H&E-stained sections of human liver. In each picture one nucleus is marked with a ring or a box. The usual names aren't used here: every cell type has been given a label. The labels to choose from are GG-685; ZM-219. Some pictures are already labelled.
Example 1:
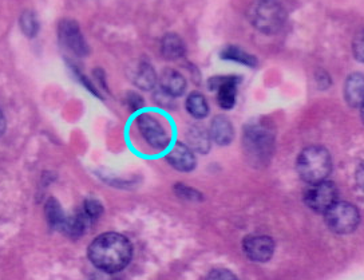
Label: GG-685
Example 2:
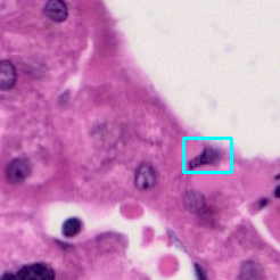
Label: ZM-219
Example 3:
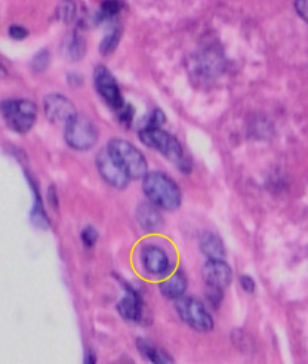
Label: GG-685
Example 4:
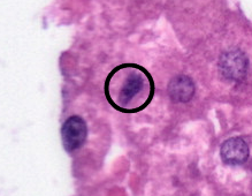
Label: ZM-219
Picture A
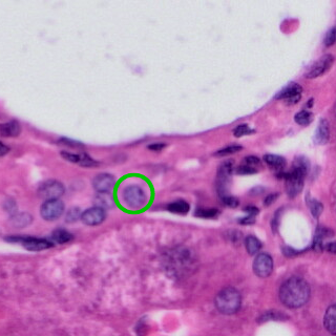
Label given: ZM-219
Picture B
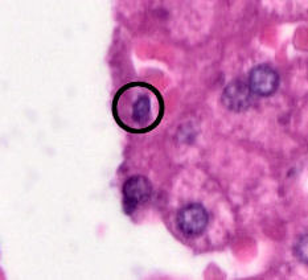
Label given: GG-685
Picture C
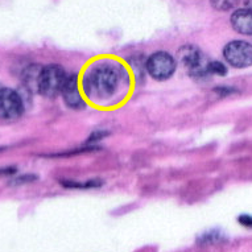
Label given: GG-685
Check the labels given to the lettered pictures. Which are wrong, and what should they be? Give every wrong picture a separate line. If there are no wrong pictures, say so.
A: GG-685, not ZM-219
B: ZM-219, not GG-685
